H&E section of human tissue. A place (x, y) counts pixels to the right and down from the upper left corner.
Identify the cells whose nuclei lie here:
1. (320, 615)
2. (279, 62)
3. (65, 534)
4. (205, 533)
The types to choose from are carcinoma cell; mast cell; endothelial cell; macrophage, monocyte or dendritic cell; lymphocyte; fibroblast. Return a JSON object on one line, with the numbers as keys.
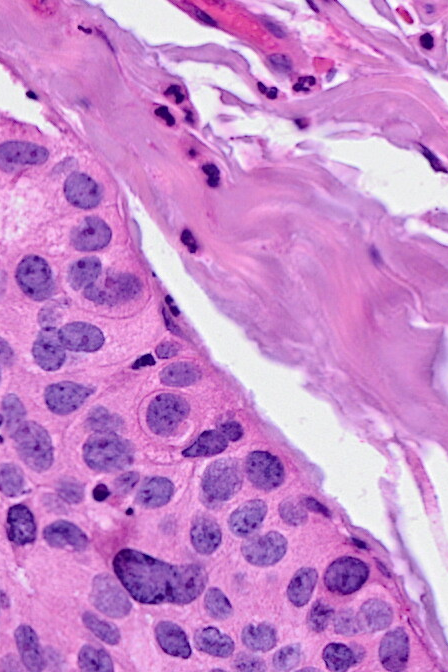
{"1": "carcinoma cell", "2": "endothelial cell", "3": "carcinoma cell", "4": "carcinoma cell"}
